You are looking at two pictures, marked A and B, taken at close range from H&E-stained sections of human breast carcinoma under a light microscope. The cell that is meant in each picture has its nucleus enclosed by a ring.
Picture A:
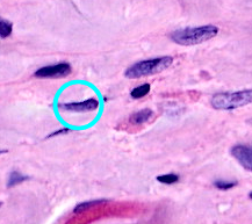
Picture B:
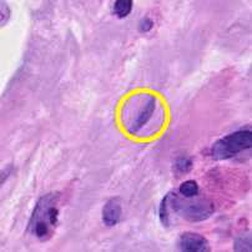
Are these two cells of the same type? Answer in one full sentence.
Yes; the cells in both pictures are fibroblasts.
